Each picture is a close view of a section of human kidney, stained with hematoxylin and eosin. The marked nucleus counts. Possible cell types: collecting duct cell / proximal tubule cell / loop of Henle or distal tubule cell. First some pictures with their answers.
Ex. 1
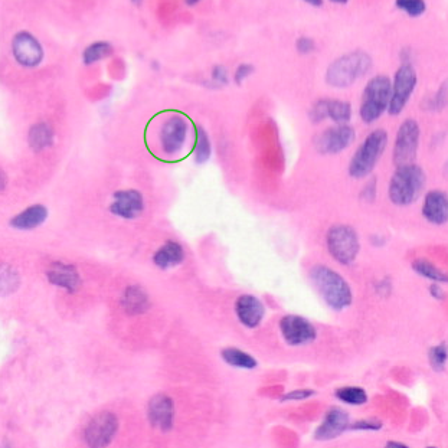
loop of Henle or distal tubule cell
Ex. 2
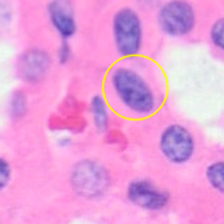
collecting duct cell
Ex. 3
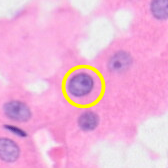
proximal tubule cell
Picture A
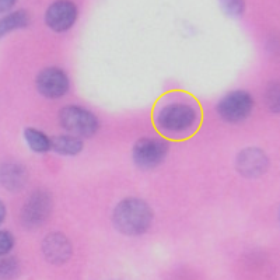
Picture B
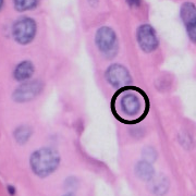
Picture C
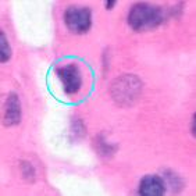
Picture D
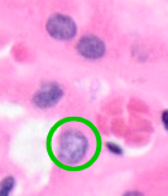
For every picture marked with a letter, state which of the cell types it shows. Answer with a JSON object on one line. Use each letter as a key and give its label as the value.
{"A": "loop of Henle or distal tubule cell", "B": "collecting duct cell", "C": "loop of Henle or distal tubule cell", "D": "loop of Henle or distal tubule cell"}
